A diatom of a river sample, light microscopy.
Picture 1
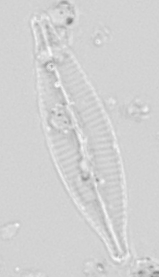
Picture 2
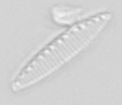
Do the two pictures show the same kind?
No: Navicula, then Nitzschia.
